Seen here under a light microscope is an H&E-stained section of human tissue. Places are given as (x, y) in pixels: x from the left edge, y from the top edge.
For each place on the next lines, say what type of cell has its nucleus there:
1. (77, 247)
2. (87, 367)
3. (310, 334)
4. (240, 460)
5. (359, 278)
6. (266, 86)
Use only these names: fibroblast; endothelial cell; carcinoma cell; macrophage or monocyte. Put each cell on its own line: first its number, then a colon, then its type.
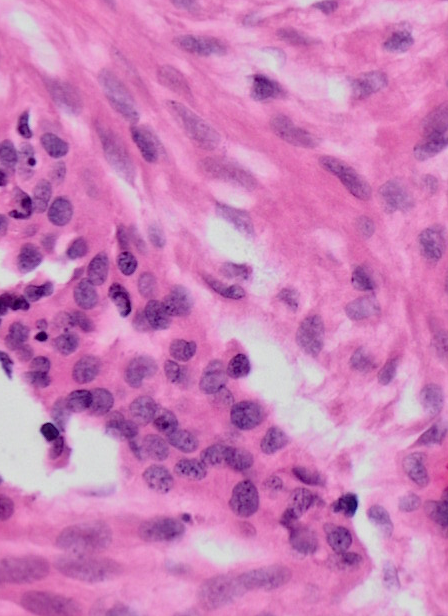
1: carcinoma cell
2: carcinoma cell
3: fibroblast
4: carcinoma cell
5: fibroblast
6: fibroblast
